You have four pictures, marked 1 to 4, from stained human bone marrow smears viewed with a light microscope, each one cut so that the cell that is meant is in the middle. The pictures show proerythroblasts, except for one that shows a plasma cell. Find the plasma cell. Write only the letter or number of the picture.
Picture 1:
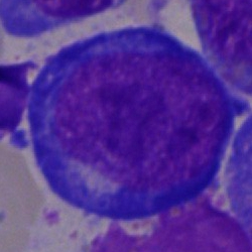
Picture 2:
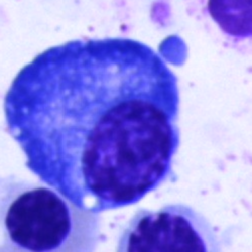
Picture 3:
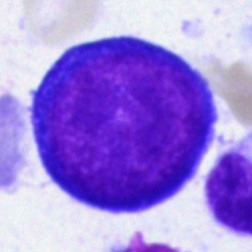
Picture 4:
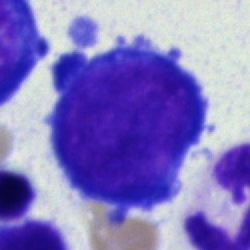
2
